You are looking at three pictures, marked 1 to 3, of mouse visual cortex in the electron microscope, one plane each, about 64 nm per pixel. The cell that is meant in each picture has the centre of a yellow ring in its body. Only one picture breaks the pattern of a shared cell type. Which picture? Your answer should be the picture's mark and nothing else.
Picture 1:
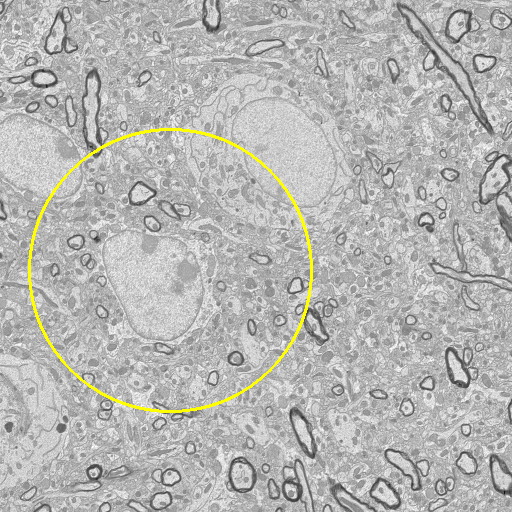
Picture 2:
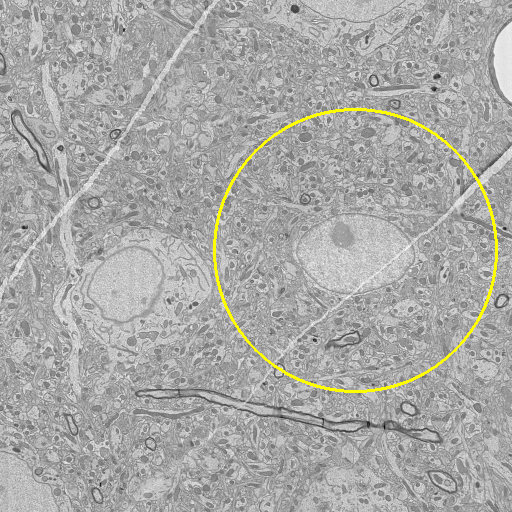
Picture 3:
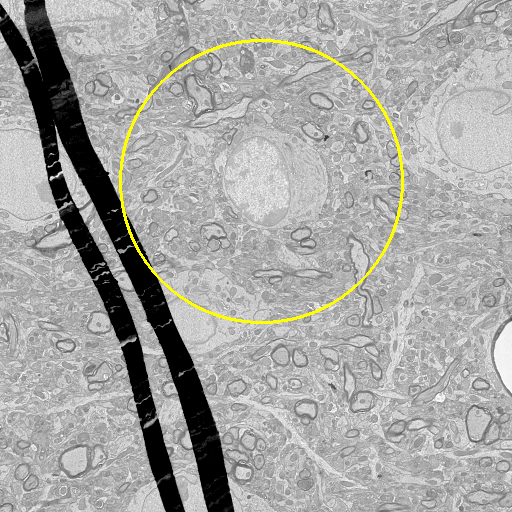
3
